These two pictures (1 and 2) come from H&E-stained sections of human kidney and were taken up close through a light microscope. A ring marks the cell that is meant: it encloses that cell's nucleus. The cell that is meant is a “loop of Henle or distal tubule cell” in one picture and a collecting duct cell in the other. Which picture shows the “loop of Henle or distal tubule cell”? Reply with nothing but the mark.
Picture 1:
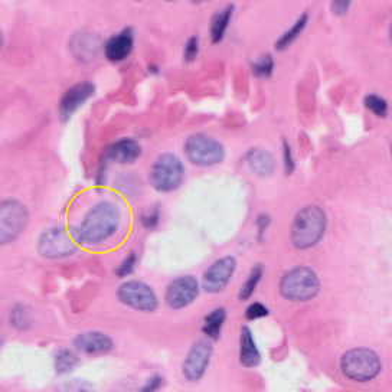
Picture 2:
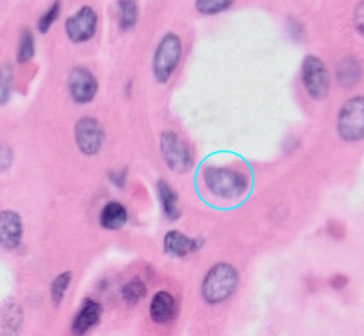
2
